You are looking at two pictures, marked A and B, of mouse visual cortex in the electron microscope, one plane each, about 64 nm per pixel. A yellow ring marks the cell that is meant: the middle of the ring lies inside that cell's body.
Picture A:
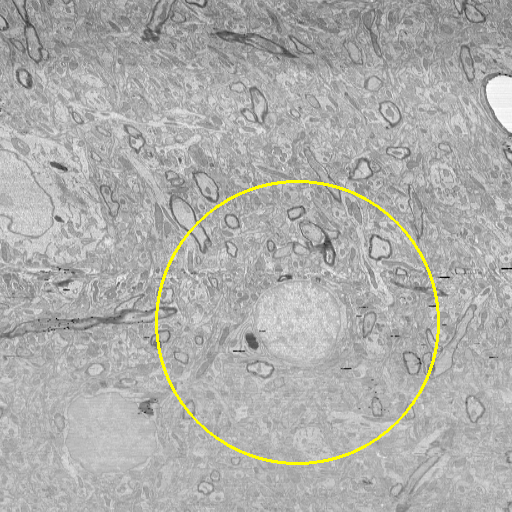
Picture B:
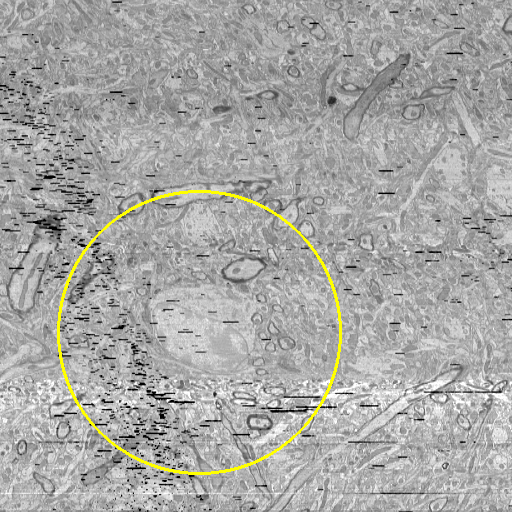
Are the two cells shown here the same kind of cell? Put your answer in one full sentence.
Yes, both cells are oligodendrocytes.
